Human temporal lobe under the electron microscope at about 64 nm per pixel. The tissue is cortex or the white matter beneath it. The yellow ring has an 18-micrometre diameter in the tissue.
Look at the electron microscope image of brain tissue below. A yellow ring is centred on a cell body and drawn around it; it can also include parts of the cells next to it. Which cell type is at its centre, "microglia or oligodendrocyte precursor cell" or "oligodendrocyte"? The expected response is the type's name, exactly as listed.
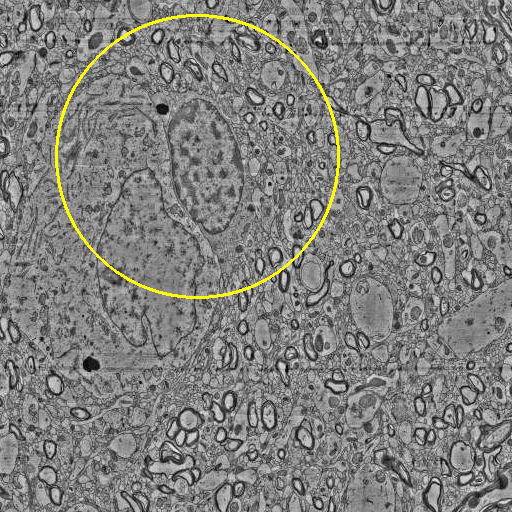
oligodendrocyte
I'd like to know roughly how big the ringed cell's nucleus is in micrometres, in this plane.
Roughly 8 by 4 micrometers, clearly longer than it is wide in this plane.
